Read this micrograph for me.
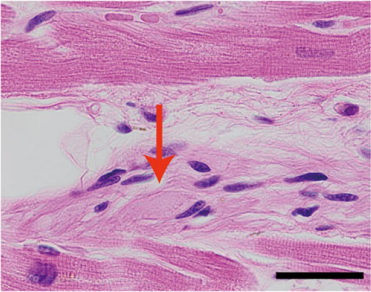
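At high magnification a small nerve fascicle runs between striated cardiac muscle fibres. The muscle fibres above and below are deep pink with visible cross-striations and oval central nuclei. The nerve fascicle between them holds elongated dark purple nuclei and wavy pale fibres. Within it lies a swollen axon filled with pale, smoothly pink, amorphous material, a pale body. A clear space lies to the left of the fascicle.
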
